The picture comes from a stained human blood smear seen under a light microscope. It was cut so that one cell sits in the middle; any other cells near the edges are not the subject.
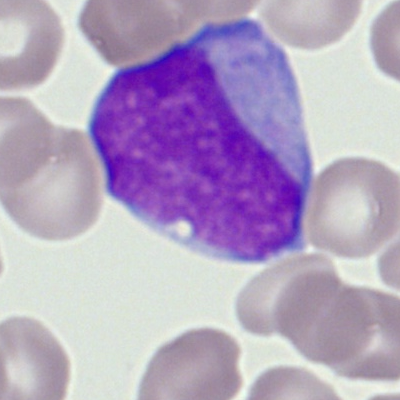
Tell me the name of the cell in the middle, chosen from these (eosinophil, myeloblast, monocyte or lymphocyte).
myeloblast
